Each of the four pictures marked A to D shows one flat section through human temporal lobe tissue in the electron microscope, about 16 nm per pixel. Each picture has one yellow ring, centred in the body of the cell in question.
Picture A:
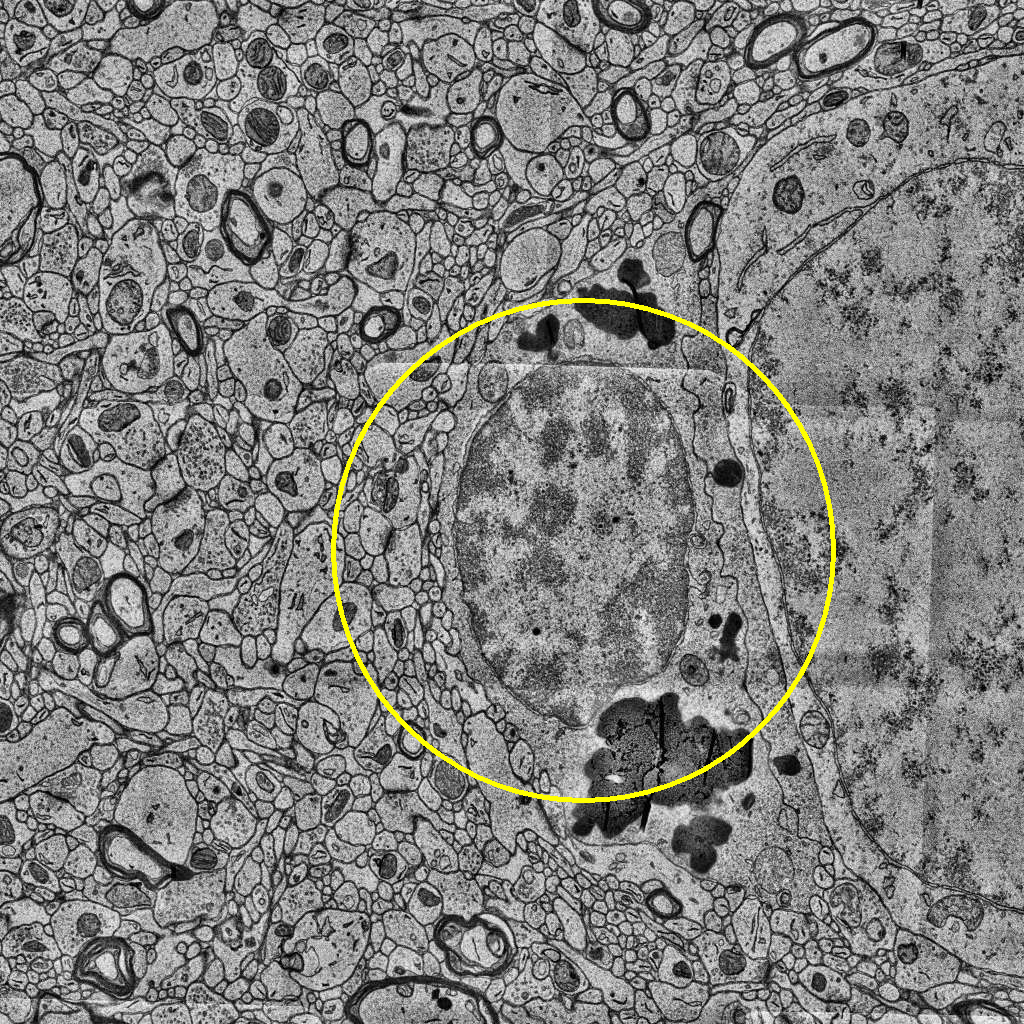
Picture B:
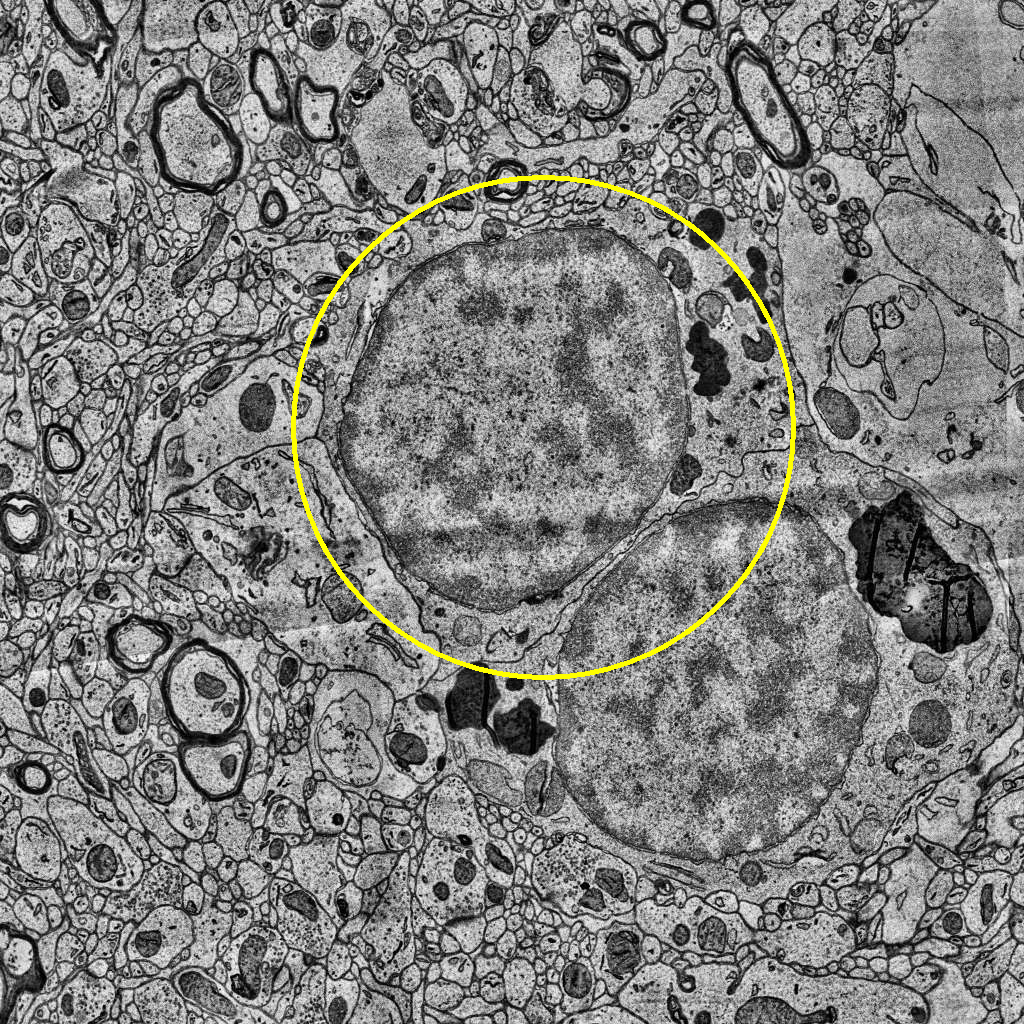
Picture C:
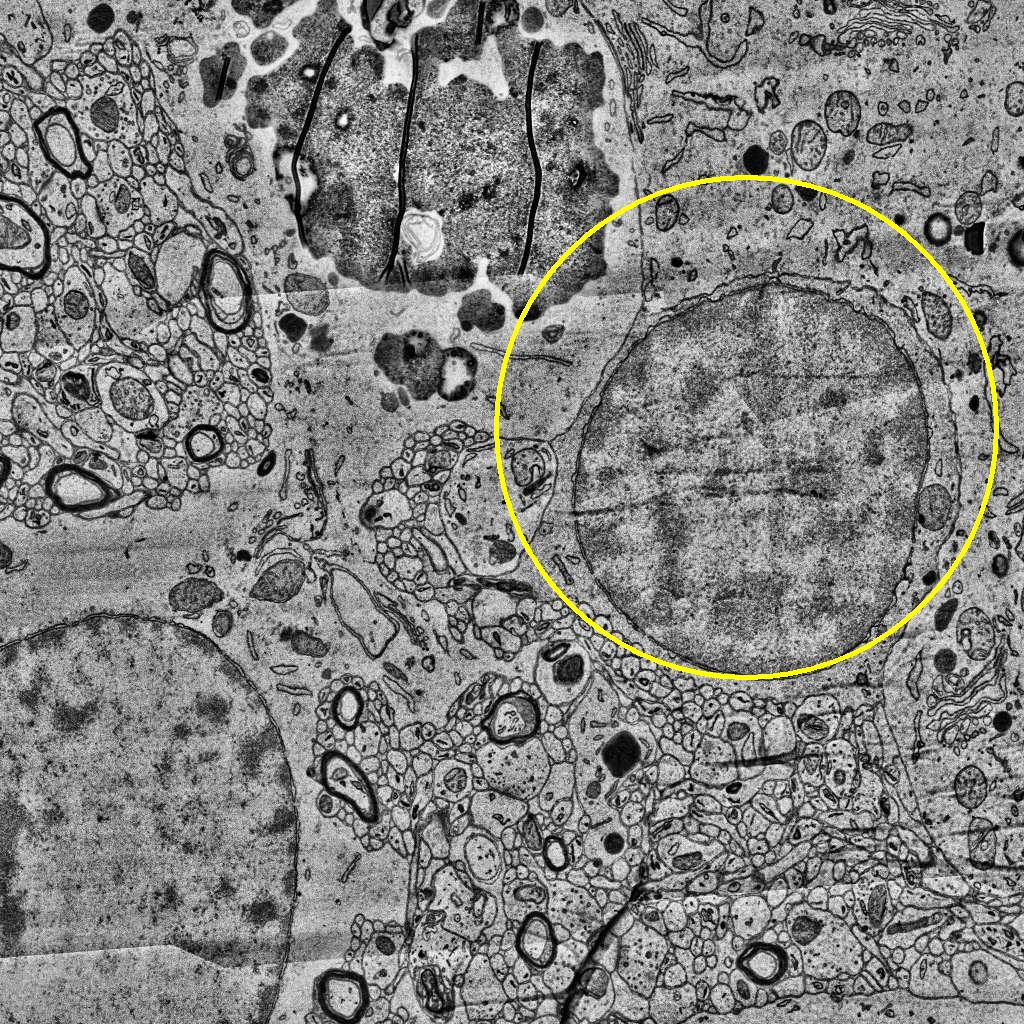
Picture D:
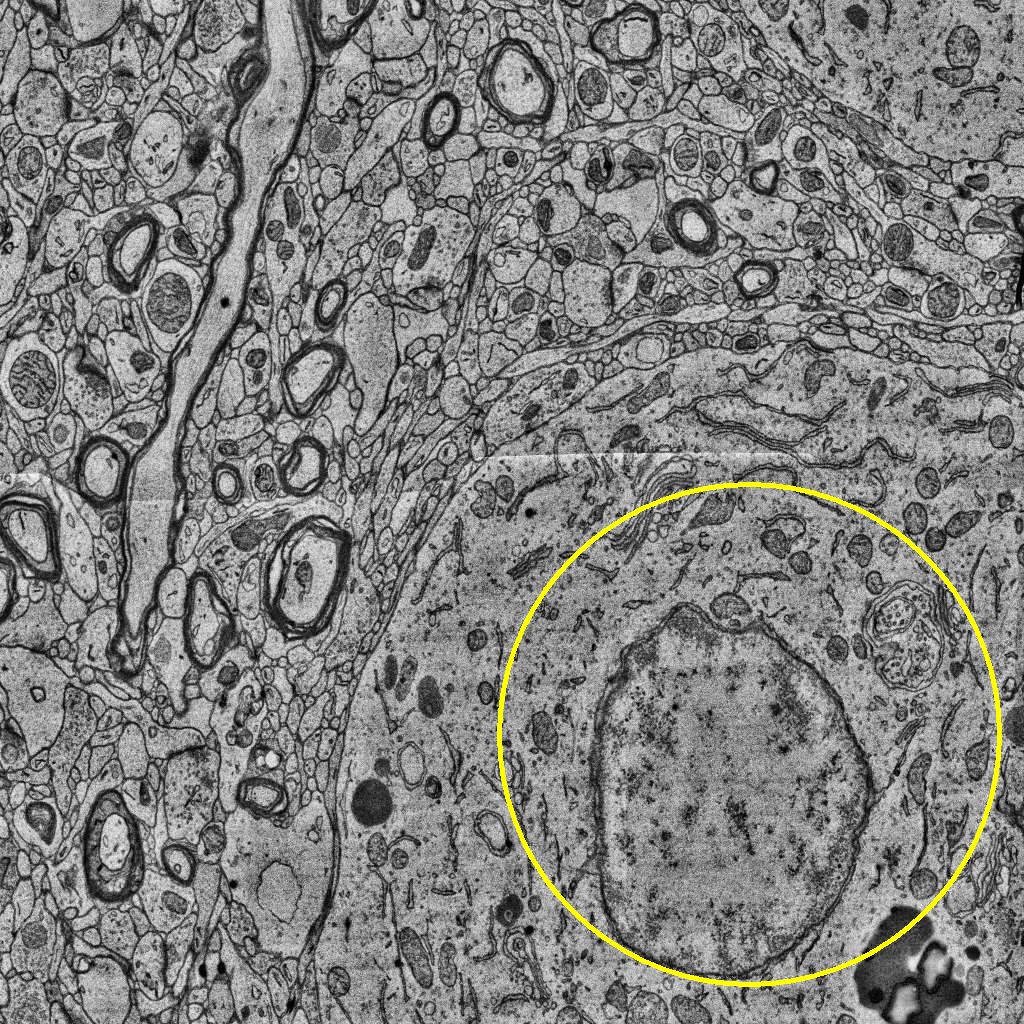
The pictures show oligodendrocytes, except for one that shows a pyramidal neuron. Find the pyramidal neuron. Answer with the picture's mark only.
D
